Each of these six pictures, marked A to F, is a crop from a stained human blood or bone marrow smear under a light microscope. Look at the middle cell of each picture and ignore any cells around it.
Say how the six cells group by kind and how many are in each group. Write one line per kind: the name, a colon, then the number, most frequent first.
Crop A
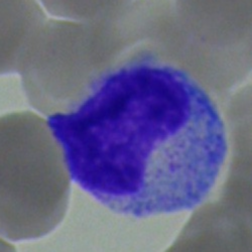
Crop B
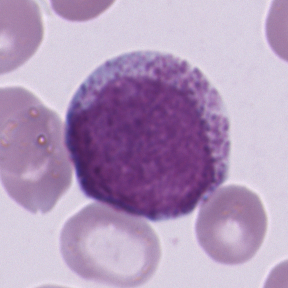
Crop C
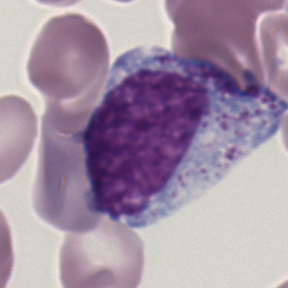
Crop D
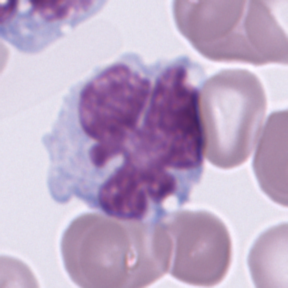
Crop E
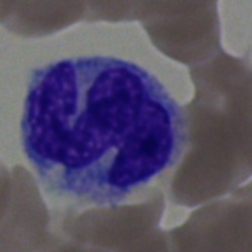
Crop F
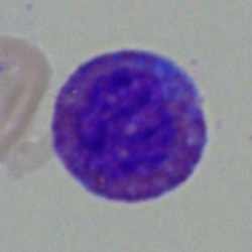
myelocyte: 3
monocyte: 2
eosinophil: 1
